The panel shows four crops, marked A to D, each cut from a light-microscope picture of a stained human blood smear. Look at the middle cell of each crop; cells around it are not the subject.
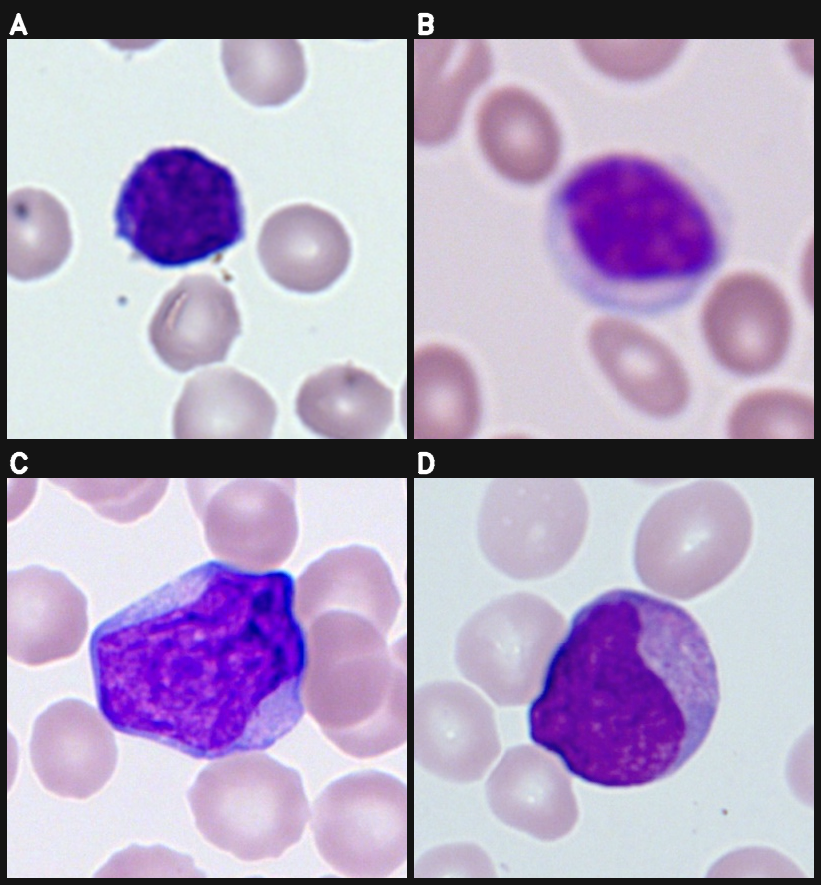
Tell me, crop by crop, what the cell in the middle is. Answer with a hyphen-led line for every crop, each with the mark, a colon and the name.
- A: lymphocyte
- B: lymphocyte
- C: myeloblast
- D: myeloblast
